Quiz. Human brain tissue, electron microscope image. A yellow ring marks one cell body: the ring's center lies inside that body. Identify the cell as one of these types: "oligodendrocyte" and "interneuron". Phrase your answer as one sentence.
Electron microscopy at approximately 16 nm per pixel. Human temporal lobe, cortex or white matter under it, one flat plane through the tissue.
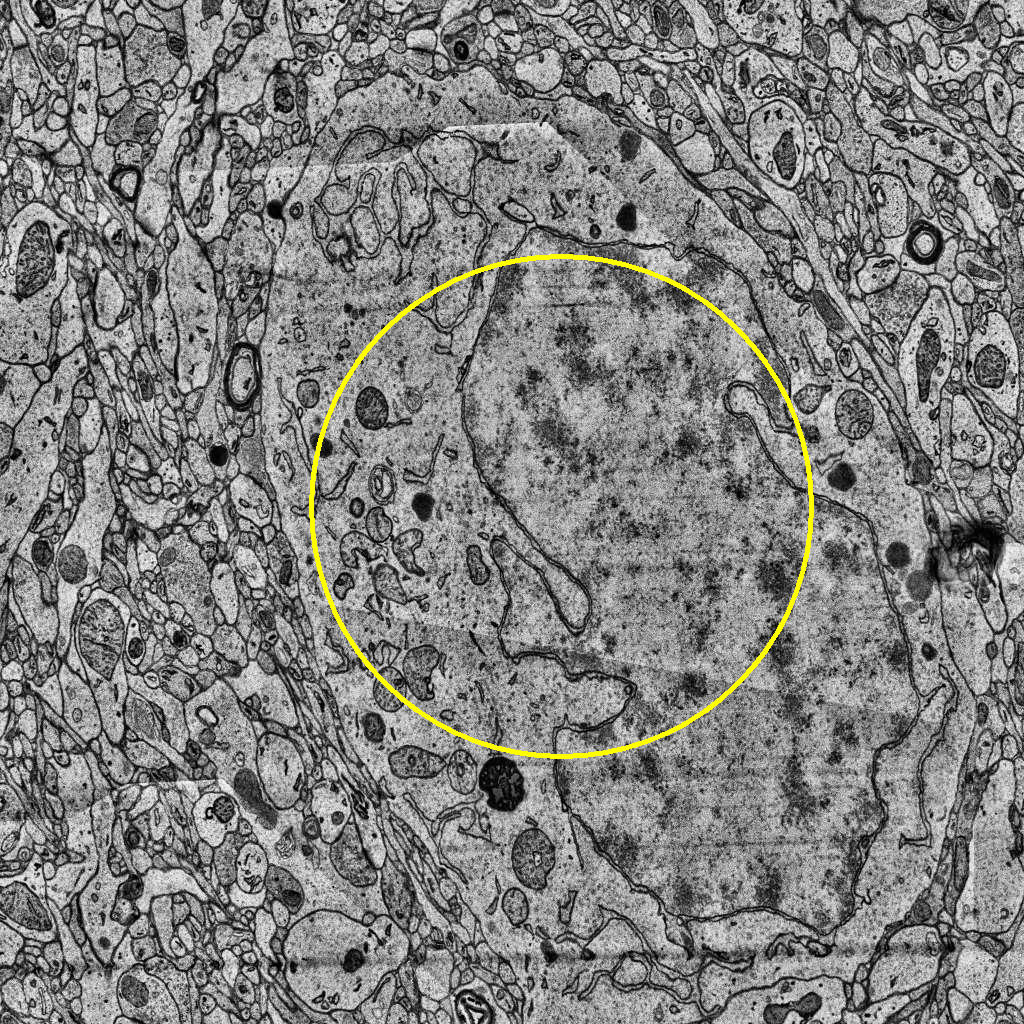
At the center of the ring sits an interneuron.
